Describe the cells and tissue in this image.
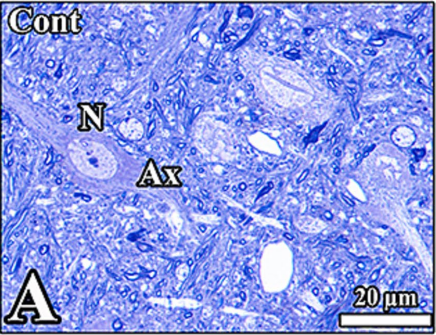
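The neurons have pale cytoplasm and a round pale nucleus with a dark nucleolus, and one gives off a long tapering process. Scattered clear round spaces lie in the neuropil.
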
